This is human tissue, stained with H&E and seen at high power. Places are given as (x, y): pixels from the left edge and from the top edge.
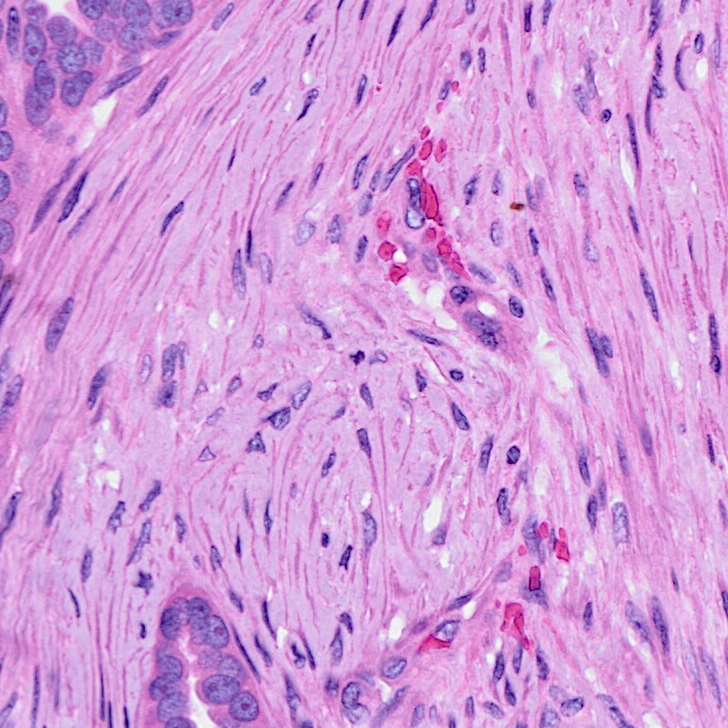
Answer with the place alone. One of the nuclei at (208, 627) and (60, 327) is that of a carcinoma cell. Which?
(208, 627)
